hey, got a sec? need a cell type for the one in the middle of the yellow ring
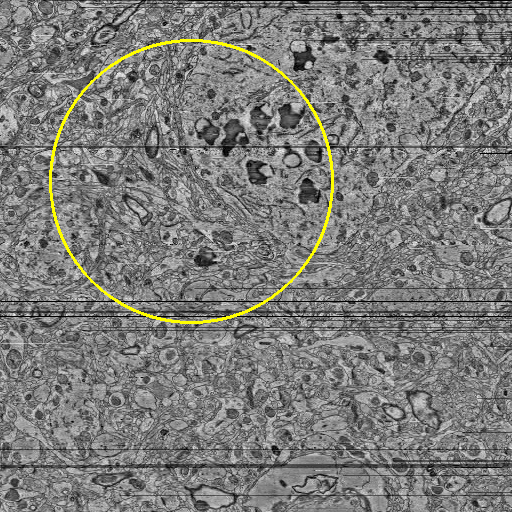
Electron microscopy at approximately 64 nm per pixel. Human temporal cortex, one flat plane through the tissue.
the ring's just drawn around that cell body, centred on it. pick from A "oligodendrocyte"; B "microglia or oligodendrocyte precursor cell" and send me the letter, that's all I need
B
